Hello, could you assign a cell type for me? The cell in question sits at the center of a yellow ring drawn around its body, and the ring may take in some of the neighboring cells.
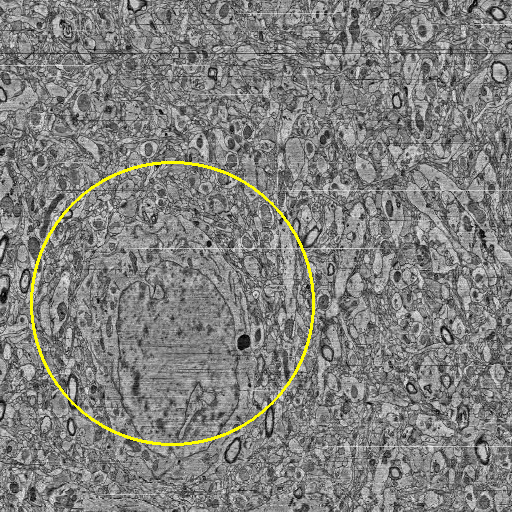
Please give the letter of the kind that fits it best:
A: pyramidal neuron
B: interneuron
B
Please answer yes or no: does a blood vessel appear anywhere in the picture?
No, the picture includes no blood vessel.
